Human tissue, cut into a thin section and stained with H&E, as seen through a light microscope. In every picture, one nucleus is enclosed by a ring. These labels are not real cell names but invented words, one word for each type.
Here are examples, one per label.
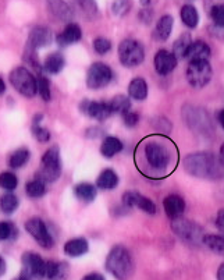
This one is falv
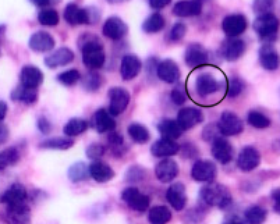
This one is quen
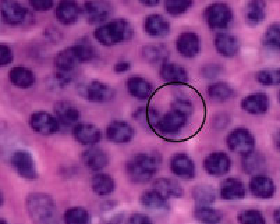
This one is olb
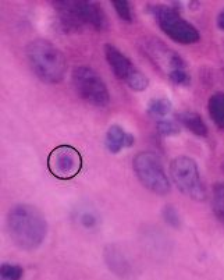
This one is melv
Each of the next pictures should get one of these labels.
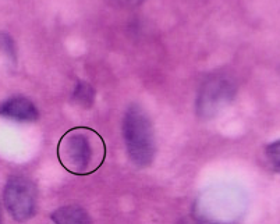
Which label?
melv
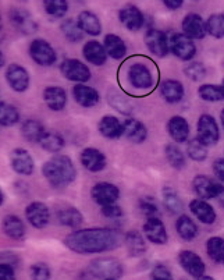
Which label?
olb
